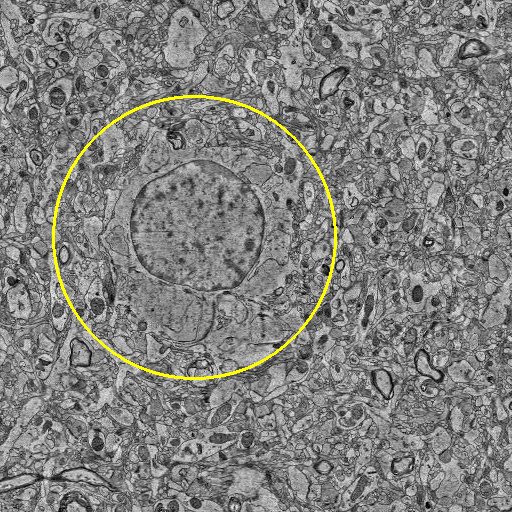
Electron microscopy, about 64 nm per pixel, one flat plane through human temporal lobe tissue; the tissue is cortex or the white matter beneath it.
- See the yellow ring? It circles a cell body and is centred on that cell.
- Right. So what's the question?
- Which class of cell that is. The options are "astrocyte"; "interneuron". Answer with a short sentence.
The centre of the ring holds an astrocyte.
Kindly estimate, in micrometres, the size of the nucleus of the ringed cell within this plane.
Roughly 9 micrometers across in this plane.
